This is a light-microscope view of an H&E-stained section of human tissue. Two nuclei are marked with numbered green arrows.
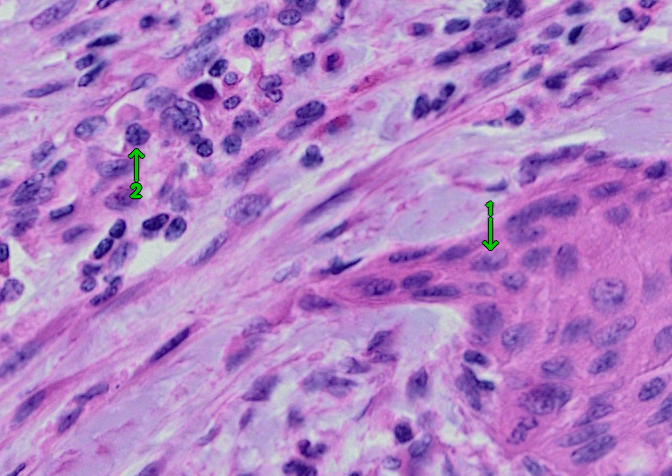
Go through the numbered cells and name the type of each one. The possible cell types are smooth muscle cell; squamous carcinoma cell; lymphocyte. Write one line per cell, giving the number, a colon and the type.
1: squamous carcinoma cell
2: lymphocyte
